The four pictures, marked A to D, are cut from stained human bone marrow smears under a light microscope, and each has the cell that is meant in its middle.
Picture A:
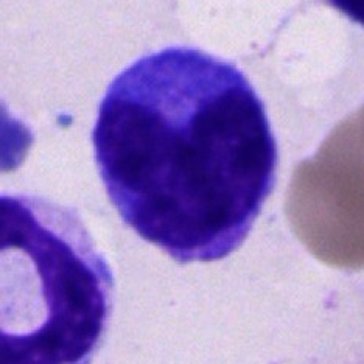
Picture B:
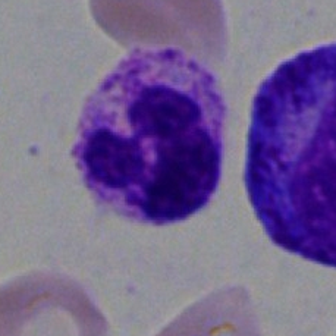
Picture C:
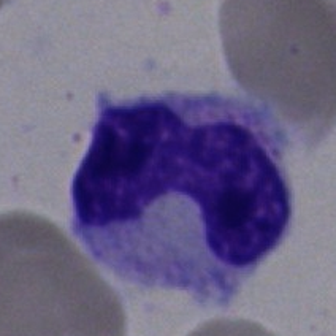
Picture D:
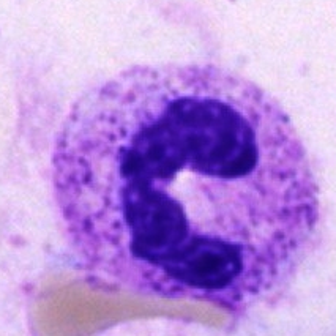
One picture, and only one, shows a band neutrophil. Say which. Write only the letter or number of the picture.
C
